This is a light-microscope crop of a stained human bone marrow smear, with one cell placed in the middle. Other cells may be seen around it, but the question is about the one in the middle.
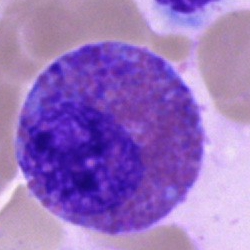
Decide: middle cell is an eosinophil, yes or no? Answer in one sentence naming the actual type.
Yes, the cell occupying the center is an eosinophil.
